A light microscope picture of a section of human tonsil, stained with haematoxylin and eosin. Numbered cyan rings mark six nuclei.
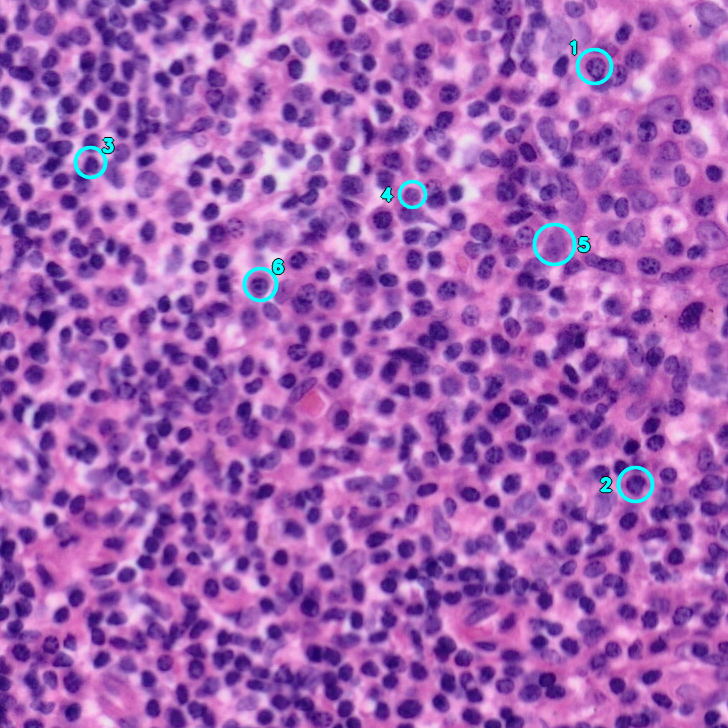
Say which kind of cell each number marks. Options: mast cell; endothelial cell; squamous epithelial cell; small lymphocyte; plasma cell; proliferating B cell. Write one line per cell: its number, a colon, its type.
1: plasma cell
2: plasma cell
3: small lymphocyte
4: plasma cell
5: squamous epithelial cell
6: plasma cell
